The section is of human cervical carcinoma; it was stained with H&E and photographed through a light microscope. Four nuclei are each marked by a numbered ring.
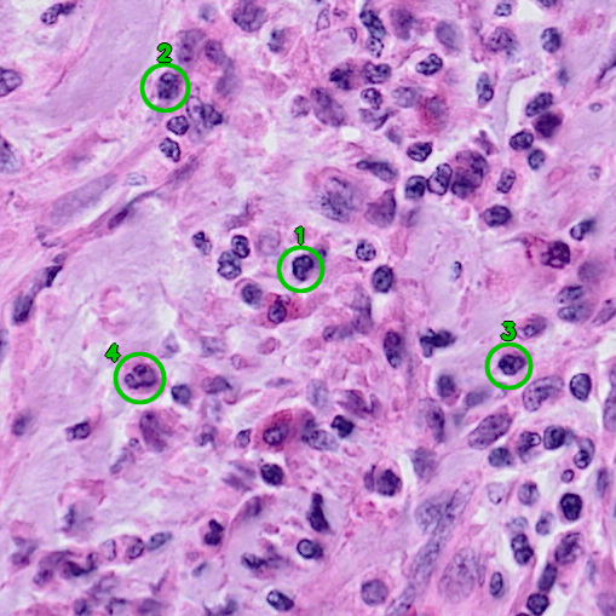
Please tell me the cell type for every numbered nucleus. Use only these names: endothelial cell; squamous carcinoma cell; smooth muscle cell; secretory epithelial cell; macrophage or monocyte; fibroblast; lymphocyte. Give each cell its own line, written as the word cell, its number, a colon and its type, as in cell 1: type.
cell 1: lymphocyte
cell 2: lymphocyte
cell 3: lymphocyte
cell 4: macrophage or monocyte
